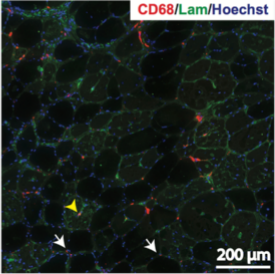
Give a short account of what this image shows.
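The fibers vary widely in size and shape, several being enlarged and rounded with dark interiors. Blue nuclei lie along the fiber borders and in the widened spaces between fibers. The red cells occur singly or in small clusters in these interstitial spaces.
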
